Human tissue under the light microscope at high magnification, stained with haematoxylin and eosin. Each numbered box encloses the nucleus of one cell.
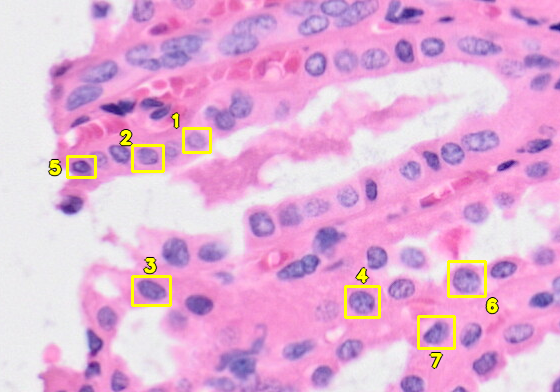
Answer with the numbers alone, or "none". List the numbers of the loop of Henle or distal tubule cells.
3, 4, 6, 7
